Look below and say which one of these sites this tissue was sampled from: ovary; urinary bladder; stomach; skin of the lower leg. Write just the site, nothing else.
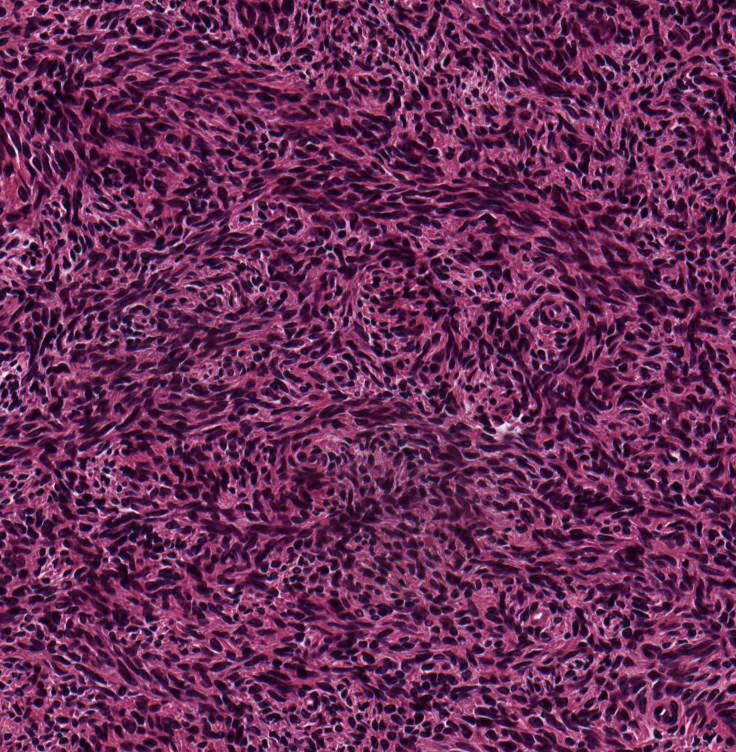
ovary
